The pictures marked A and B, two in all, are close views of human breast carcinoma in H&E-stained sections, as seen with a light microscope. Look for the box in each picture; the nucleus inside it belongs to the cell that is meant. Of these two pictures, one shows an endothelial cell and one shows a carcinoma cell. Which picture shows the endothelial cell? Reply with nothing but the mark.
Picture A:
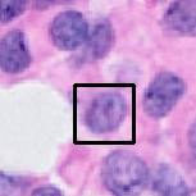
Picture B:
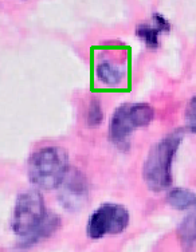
B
